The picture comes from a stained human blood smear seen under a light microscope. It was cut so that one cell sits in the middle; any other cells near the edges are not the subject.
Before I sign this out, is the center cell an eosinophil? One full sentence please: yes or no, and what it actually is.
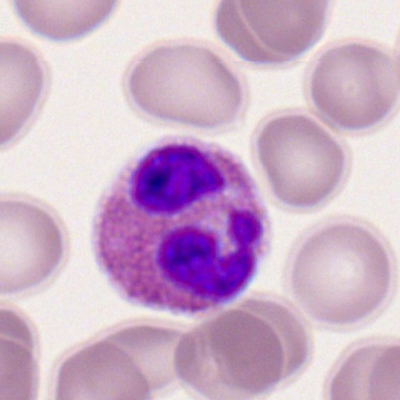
Yes, the cell at the centre of this crop is identified as an eosinophil.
